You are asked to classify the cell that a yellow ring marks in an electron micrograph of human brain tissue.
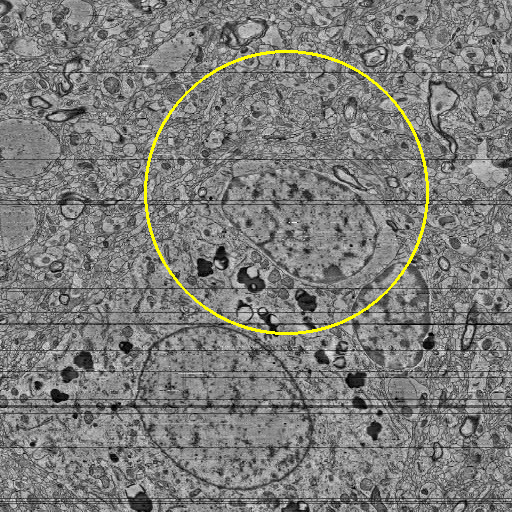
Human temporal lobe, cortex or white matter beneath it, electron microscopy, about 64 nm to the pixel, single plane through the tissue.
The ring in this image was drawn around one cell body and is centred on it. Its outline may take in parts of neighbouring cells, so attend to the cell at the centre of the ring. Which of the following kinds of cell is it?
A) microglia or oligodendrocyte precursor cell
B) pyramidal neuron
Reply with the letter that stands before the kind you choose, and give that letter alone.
A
